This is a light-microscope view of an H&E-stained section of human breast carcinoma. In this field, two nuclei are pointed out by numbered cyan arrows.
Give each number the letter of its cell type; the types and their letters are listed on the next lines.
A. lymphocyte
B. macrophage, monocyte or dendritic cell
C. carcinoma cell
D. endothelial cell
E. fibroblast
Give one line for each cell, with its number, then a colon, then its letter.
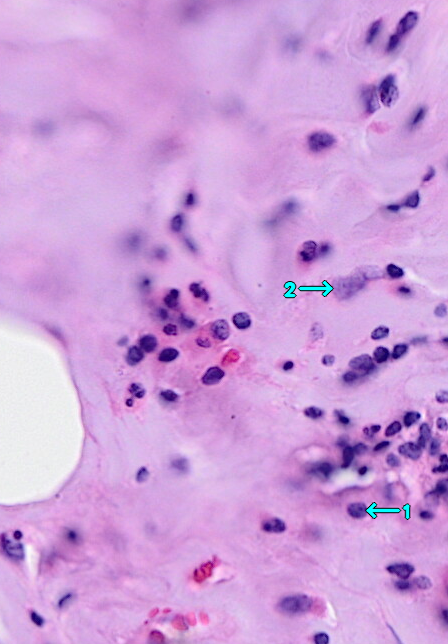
1: A
2: E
